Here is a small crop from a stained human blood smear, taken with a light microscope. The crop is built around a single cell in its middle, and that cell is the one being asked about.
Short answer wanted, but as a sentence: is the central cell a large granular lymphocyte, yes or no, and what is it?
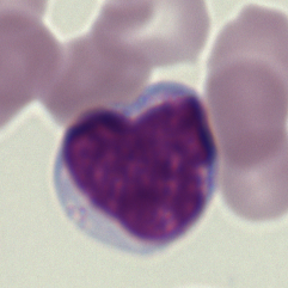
Yes, as regards the cell in the middle, it is a large granular lymphocyte.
